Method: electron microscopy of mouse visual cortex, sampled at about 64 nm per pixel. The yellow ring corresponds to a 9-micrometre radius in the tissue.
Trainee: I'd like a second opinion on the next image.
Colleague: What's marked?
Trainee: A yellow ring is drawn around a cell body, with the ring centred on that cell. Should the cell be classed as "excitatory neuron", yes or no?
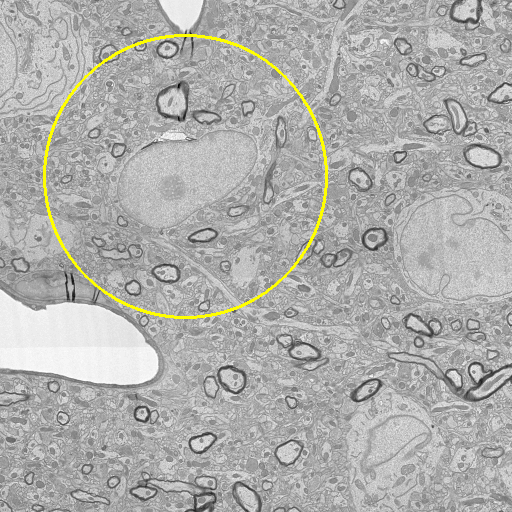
No, it should be classed as another kind.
